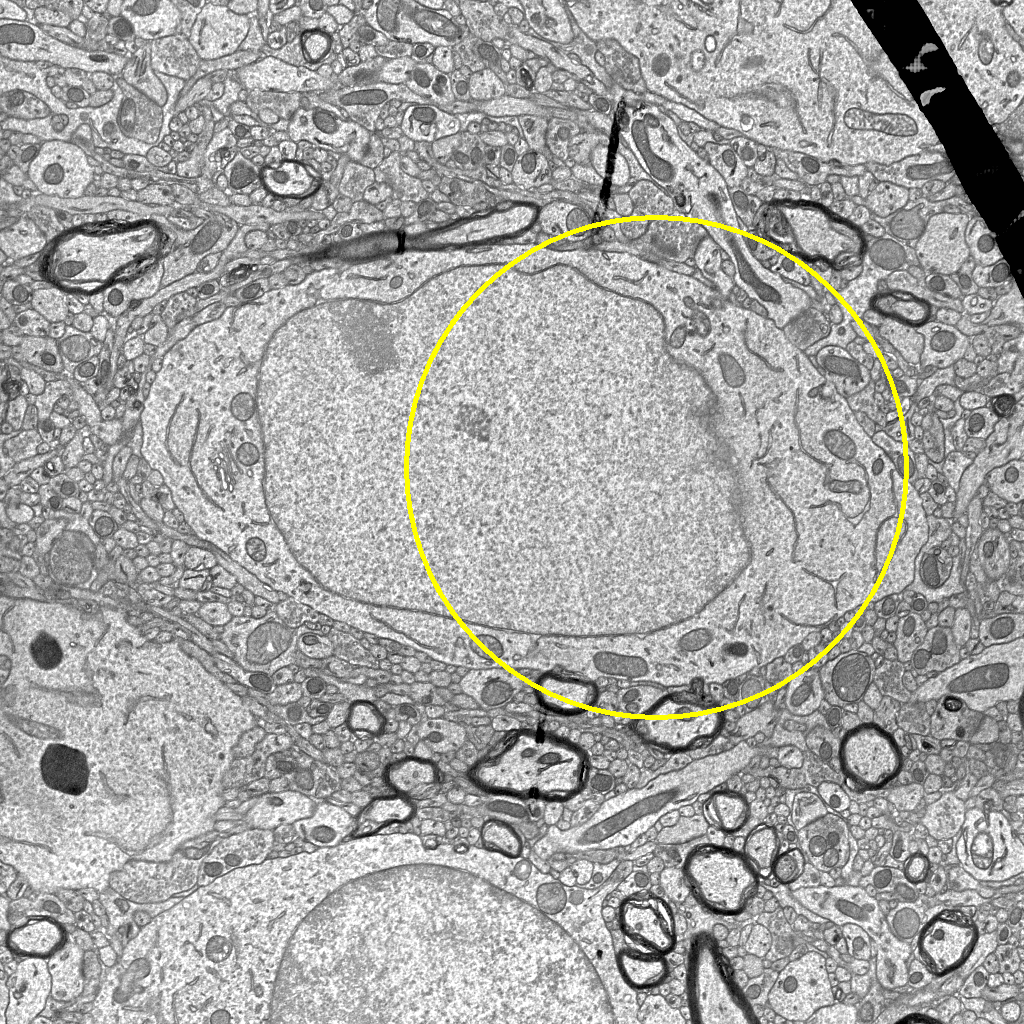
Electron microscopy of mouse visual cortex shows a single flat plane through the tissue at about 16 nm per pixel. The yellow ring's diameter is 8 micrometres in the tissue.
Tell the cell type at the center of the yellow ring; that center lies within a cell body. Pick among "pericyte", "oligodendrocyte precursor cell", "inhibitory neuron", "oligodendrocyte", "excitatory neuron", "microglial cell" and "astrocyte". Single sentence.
The ring's center lies in the body of an oligodendrocyte.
